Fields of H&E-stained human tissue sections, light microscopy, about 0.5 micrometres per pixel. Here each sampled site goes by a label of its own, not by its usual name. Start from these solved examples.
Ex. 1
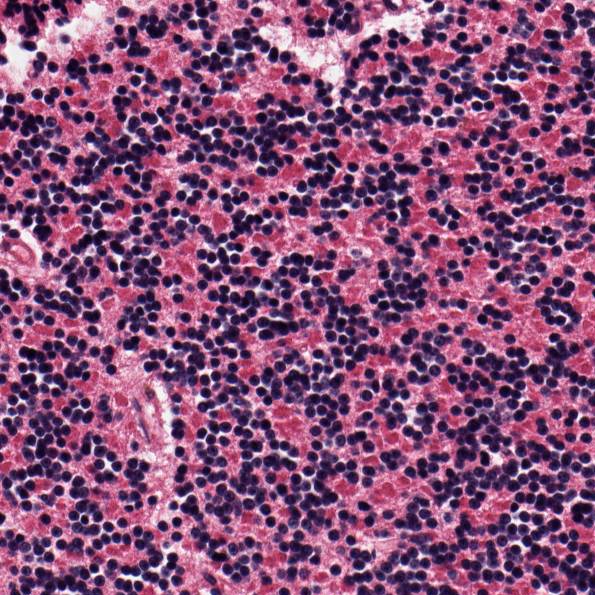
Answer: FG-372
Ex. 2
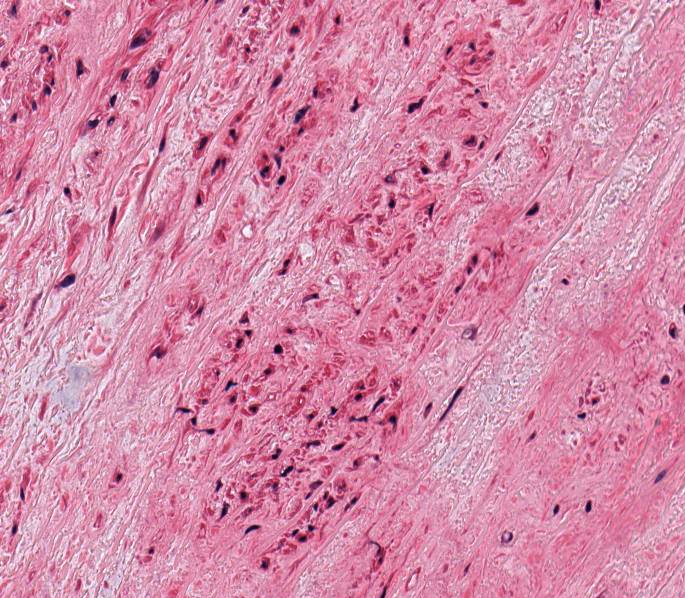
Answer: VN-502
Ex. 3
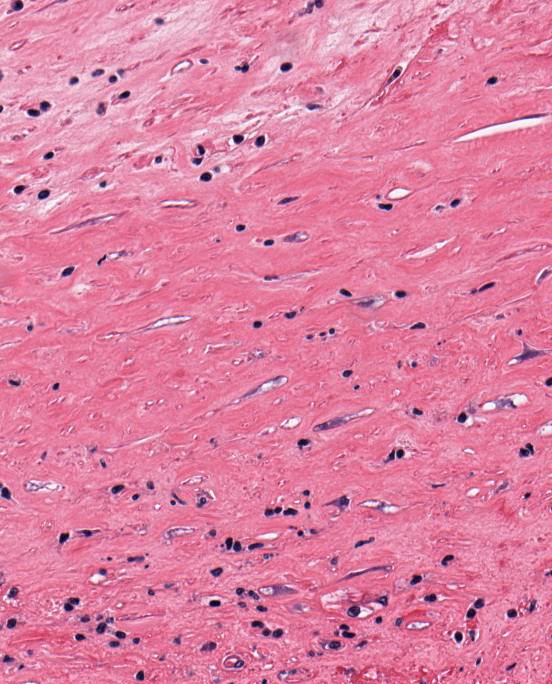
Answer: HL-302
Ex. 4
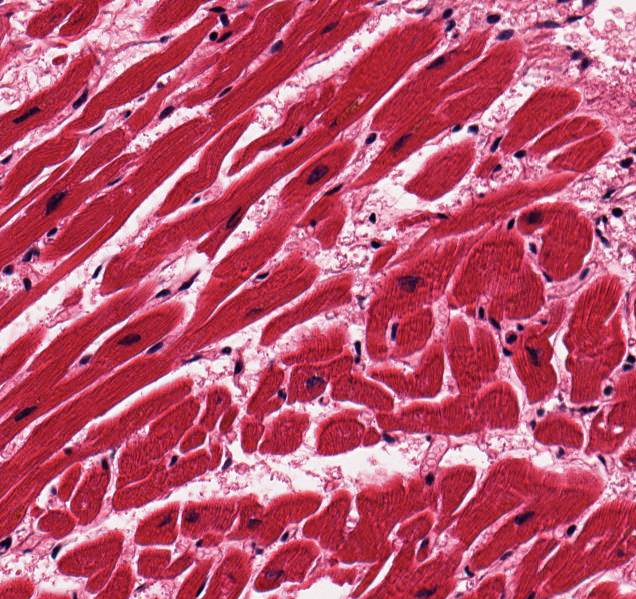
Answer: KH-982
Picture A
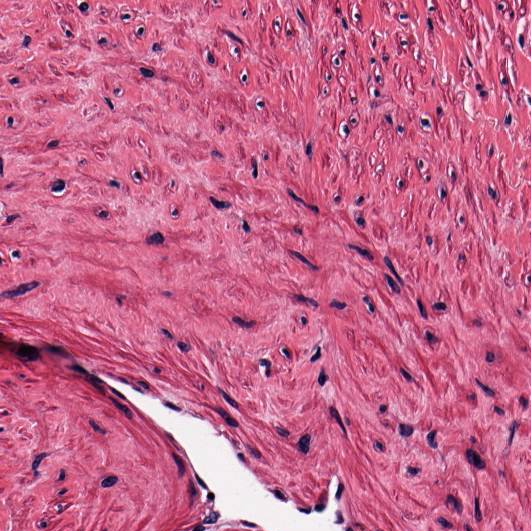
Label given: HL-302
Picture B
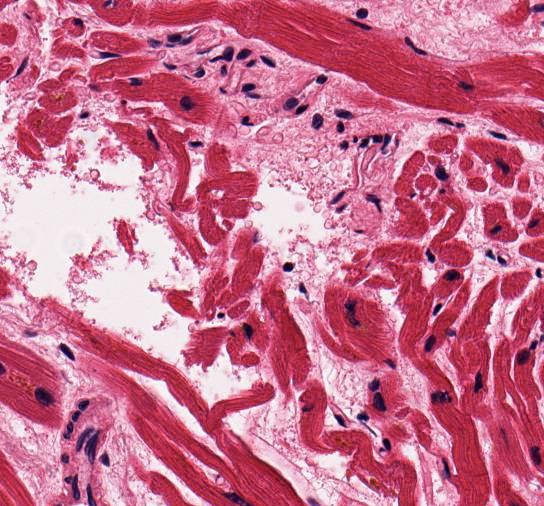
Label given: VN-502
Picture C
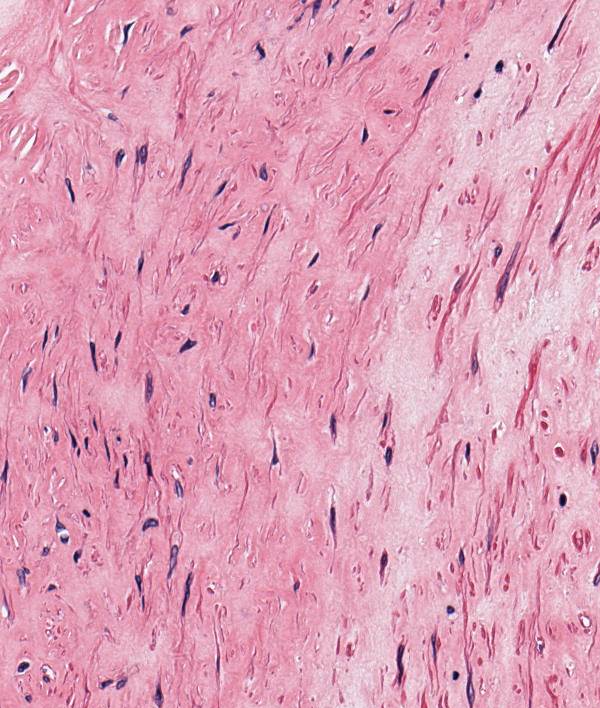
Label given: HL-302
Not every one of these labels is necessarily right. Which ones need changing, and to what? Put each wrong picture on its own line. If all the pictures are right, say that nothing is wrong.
B: KH-982, not VN-502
